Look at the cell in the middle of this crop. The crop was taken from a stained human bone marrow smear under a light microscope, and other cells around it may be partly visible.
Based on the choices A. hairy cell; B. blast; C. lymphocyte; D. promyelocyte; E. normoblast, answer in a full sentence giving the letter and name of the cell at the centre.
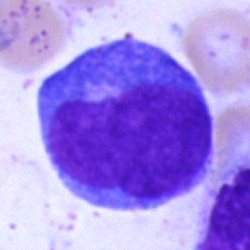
It is a blast that occupies the centre of the crop, so option B is correct.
